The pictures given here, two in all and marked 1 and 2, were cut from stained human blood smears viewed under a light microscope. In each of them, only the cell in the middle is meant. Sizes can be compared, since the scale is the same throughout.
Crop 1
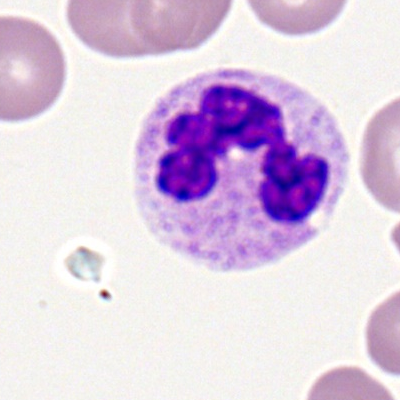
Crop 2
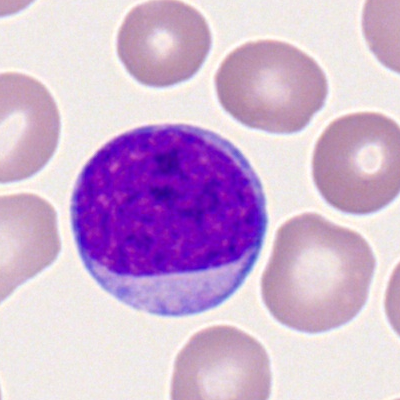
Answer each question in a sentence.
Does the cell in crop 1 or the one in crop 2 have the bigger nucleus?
Larger is the nucleus in crop 2, at roughly 2 times the area of the other.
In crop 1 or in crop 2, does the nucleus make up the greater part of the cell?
It is the cell in crop 2 that is filled more by its nucleus.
